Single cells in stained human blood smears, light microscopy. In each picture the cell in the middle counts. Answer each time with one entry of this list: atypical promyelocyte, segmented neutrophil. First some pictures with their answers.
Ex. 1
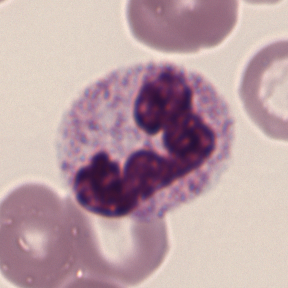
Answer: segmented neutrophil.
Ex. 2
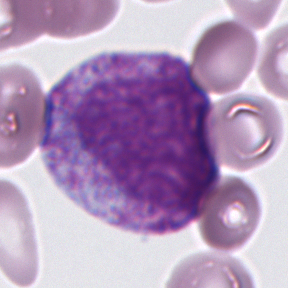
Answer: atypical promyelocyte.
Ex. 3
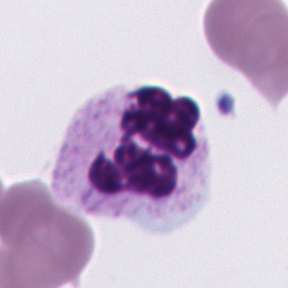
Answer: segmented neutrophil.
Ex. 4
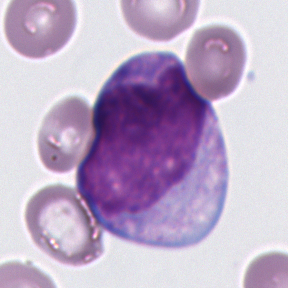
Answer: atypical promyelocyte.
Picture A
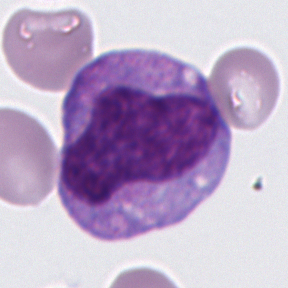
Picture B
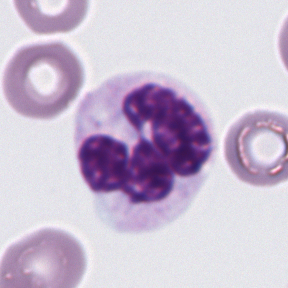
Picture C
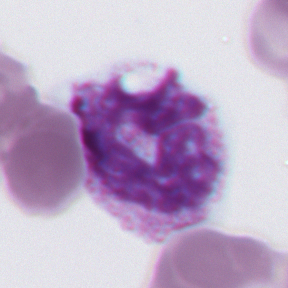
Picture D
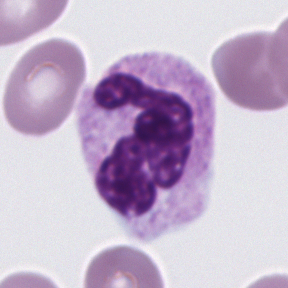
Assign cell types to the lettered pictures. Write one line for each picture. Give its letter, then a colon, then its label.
A: atypical promyelocyte.
B: segmented neutrophil.
C: segmented neutrophil.
D: segmented neutrophil.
